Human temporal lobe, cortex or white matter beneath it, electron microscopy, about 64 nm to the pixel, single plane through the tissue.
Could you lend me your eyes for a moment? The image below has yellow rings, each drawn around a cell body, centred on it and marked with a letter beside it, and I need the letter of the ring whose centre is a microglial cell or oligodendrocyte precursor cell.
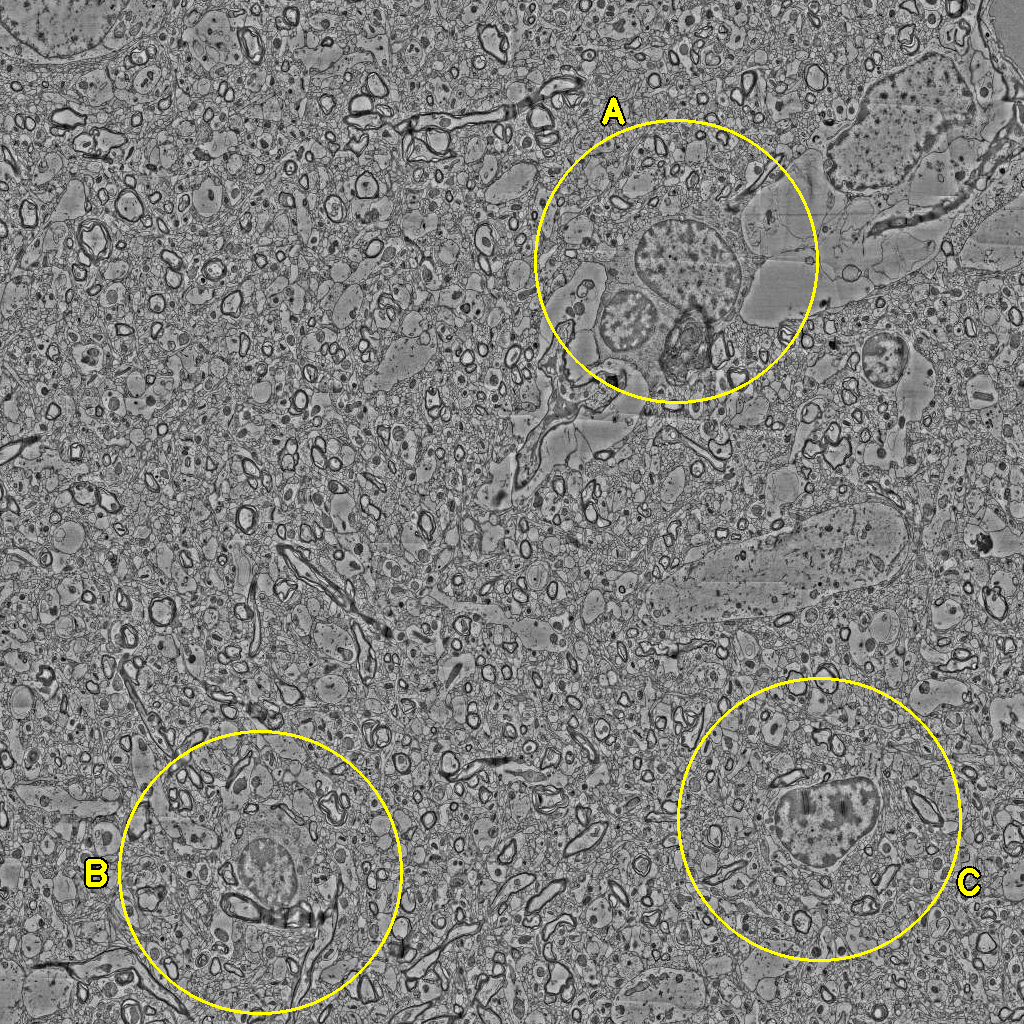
C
